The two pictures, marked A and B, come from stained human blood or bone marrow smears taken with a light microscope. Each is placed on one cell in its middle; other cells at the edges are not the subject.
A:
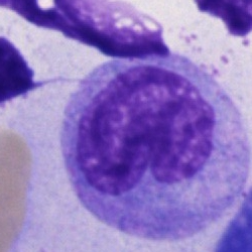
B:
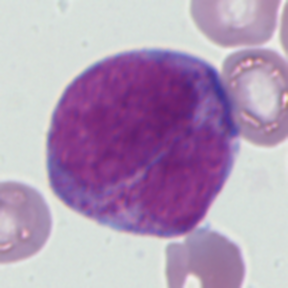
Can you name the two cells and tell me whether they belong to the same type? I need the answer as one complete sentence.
No, crop A shows a monocyte, and it is crop B that shows a promyelocyte.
